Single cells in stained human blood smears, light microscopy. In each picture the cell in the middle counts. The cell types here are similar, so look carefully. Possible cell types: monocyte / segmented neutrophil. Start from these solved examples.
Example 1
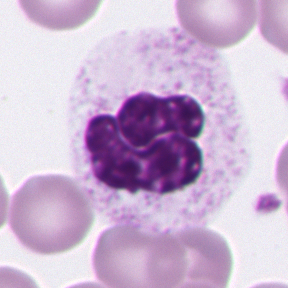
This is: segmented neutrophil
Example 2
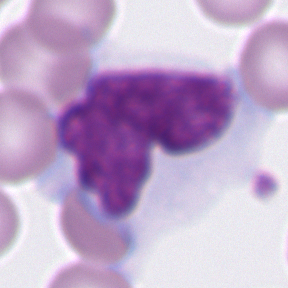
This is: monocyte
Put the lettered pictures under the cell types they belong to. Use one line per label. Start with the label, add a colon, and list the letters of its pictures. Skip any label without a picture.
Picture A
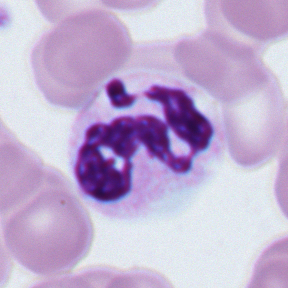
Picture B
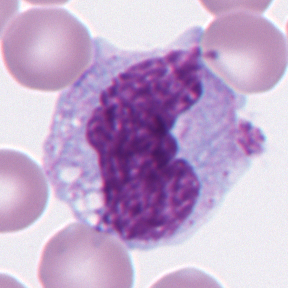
monocyte: B
segmented neutrophil: A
